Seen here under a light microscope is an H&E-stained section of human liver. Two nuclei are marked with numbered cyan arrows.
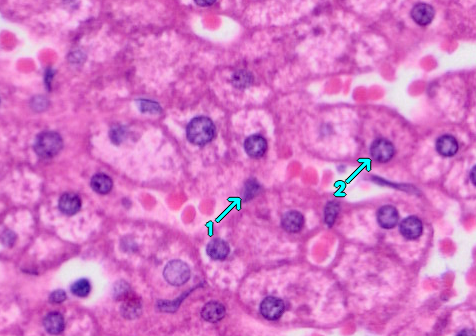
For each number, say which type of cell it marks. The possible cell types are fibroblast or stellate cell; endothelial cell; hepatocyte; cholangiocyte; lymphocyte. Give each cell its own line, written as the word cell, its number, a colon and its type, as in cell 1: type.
cell 1: endothelial cell
cell 2: hepatocyte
